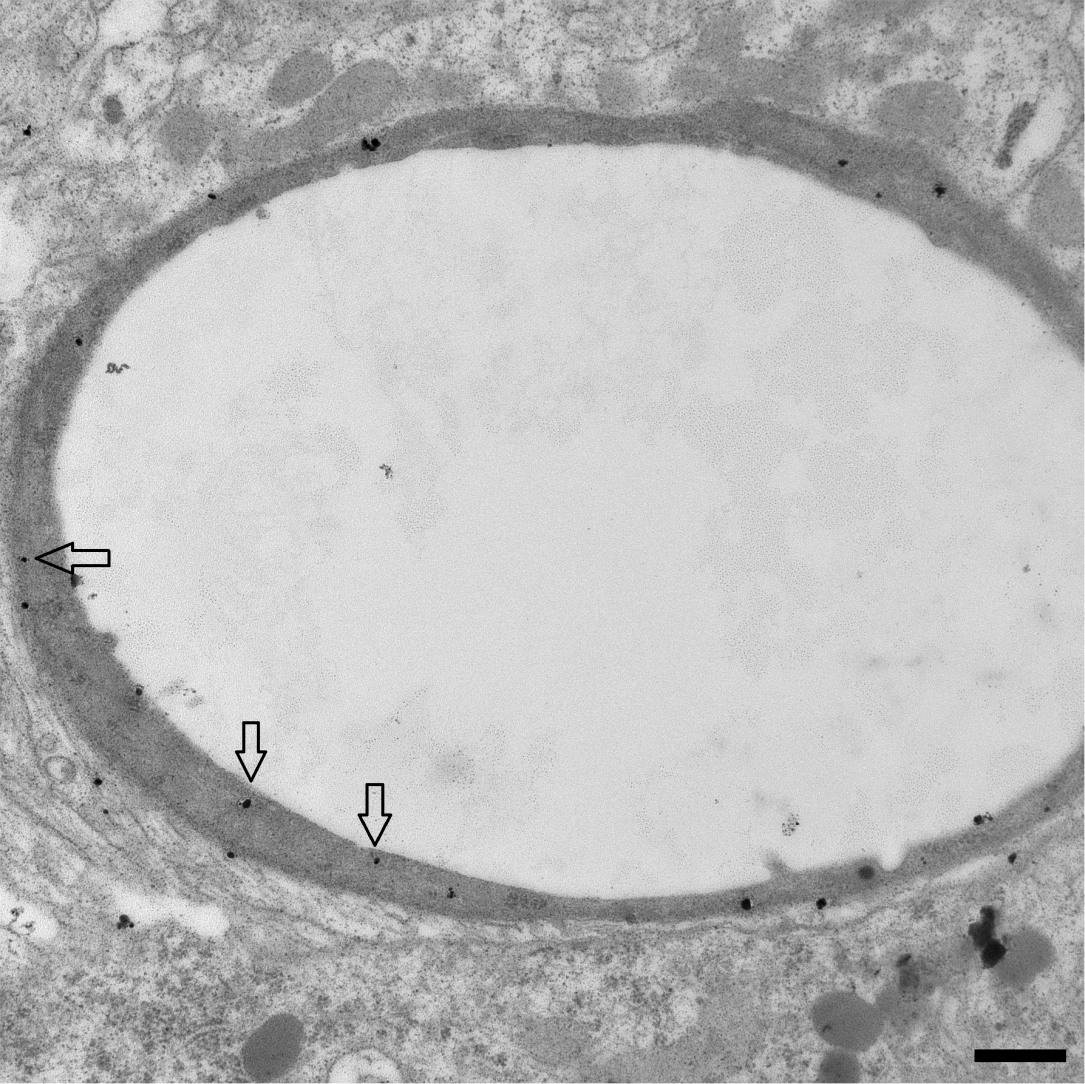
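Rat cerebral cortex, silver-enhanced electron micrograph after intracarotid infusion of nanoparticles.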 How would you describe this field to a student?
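The lumen is pale with faint, fluffy content. Small, very dense black particles lie scattered within this endothelial layer and along its inner and outer borders. Outside the vessel wall lies surrounding brain tissue with mitochondria, membrane profiles and granular cytoplasm.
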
